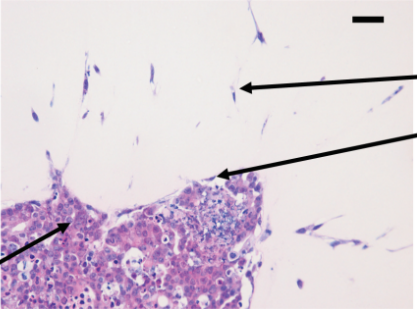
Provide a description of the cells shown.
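A dense mass of closely packed polygonal cells with pink cytoplasm and round purple nuclei fills the lower part, arranged in a cobblestone pattern, with smaller darker nuclei crowded in places within it. Above, in a pale cell-poor matrix, scattered spindle-shaped cells with thin processes radiate away from the mass, and a few elongated cells lie along its surface. The packed cobblestone cells are epithelial cells, and the elongated cells at the surface and out in the matrix are fibroblasts.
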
